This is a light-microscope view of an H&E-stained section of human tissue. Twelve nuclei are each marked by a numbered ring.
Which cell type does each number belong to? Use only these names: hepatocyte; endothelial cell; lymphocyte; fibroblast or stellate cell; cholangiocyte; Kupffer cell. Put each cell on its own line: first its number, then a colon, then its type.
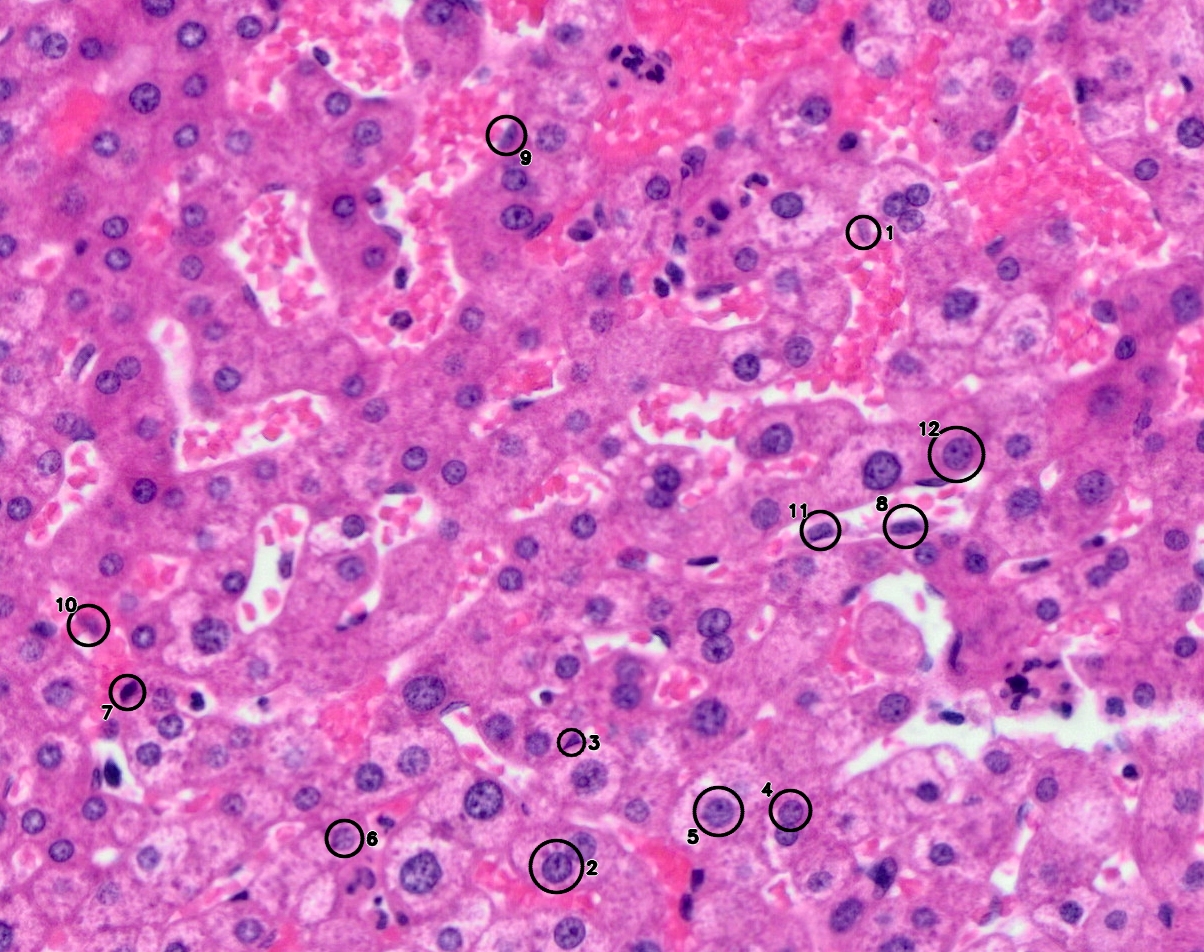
1: Kupffer cell
2: hepatocyte
3: fibroblast or stellate cell
4: hepatocyte
5: hepatocyte
6: hepatocyte
7: fibroblast or stellate cell
8: Kupffer cell
9: endothelial cell
10: Kupffer cell
11: Kupffer cell
12: hepatocyte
